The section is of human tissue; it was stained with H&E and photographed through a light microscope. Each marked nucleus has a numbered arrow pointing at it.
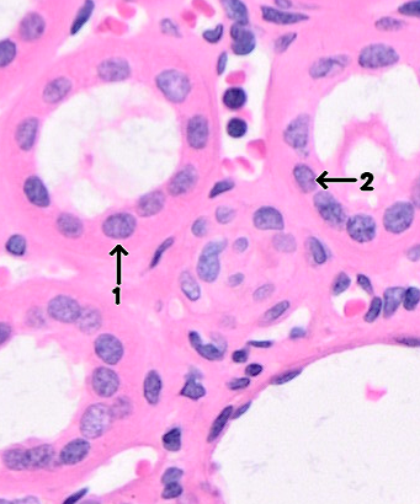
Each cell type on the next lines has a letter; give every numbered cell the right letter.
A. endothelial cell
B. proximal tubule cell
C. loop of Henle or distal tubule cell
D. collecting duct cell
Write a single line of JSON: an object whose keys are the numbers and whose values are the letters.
{"1": "C", "2": "D"}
